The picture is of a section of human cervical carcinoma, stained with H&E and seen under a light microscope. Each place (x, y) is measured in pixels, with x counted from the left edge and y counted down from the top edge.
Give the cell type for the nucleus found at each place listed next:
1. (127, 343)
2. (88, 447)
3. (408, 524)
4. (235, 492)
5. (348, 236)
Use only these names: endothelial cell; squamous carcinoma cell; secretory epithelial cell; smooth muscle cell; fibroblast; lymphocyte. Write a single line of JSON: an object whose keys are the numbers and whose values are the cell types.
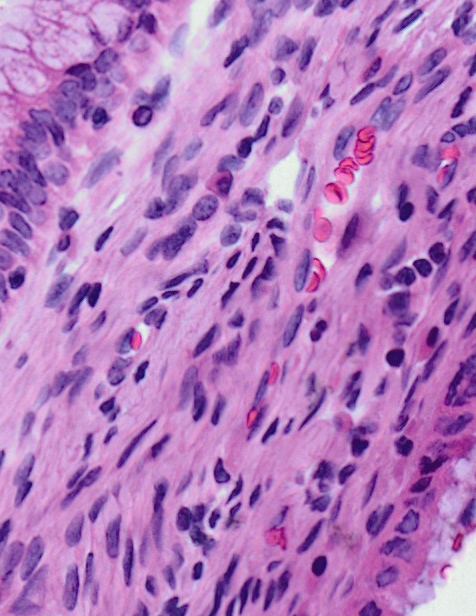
{"1": "endothelial cell", "2": "fibroblast", "3": "secretory epithelial cell", "4": "fibroblast", "5": "endothelial cell"}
